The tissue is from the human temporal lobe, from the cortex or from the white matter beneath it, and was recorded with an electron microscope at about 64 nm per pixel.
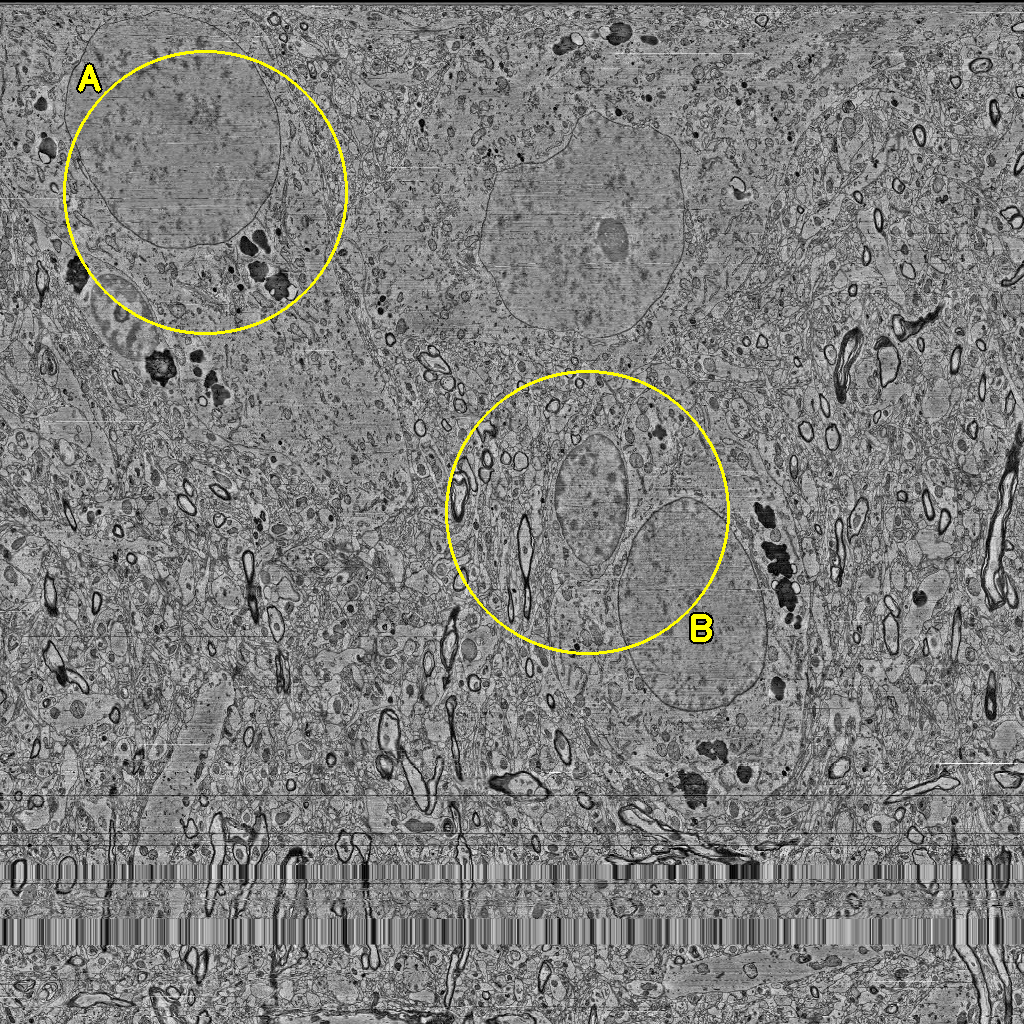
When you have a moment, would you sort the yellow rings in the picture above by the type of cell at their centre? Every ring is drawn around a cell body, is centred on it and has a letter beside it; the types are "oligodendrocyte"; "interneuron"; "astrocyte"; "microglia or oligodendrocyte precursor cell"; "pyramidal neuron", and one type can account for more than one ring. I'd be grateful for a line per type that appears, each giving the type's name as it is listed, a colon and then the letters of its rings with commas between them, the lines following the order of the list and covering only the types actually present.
oligodendrocyte: B
pyramidal neuron: A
